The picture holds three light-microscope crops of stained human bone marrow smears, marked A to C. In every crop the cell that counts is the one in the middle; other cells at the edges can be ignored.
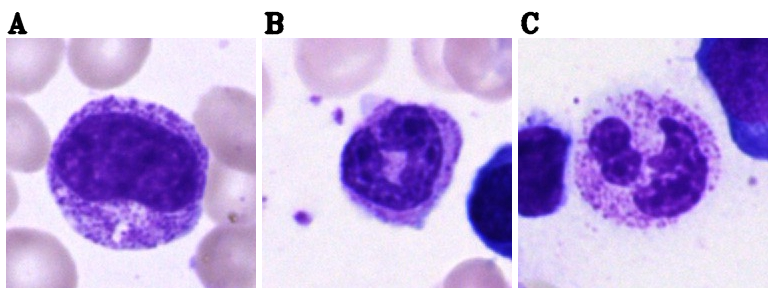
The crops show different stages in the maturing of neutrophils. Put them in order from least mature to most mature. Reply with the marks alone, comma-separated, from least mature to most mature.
A, B, C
